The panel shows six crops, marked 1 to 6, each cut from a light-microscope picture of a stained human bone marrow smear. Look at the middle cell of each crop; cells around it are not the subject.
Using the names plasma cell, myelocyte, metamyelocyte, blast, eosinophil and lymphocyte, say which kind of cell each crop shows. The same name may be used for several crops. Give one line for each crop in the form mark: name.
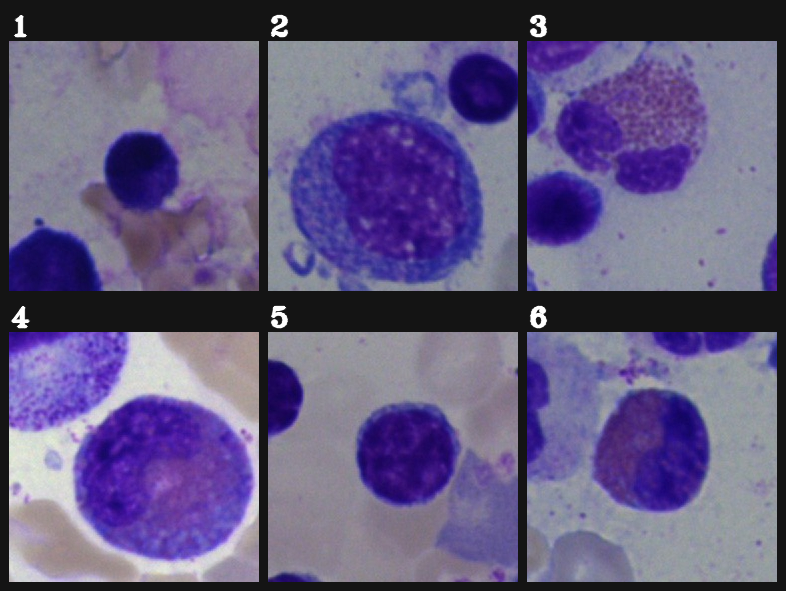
1: lymphocyte
2: blast
3: eosinophil
4: eosinophil
5: lymphocyte
6: eosinophil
